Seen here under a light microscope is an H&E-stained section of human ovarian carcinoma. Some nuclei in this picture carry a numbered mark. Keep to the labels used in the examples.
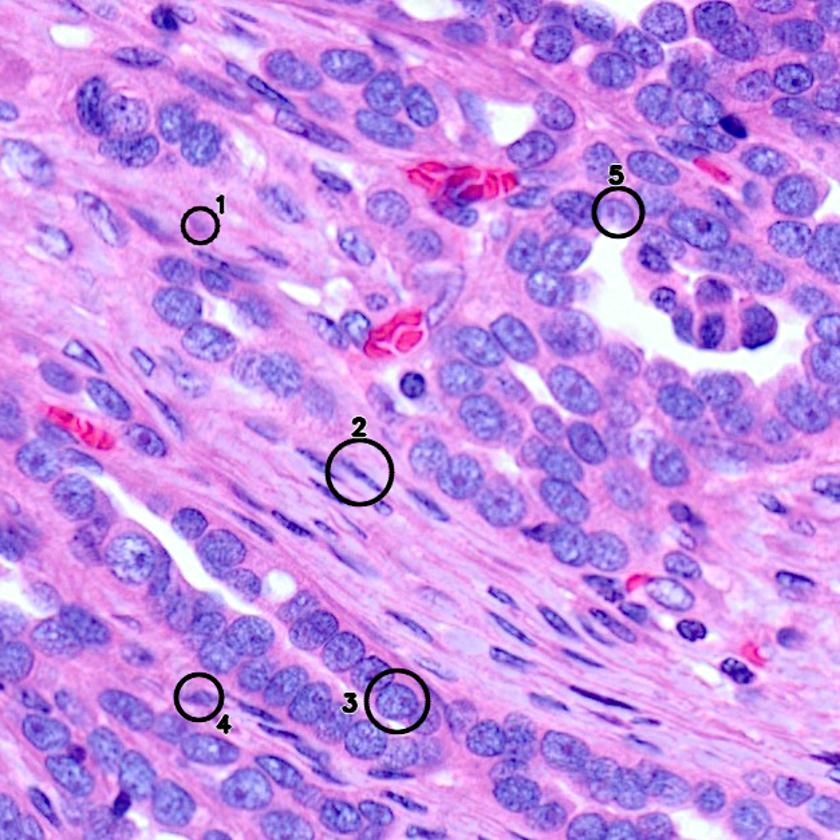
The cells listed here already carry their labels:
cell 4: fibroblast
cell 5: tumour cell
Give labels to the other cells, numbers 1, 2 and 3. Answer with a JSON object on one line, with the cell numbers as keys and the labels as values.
{"1": "fibroblast", "2": "fibroblast", "3": "tumour cell"}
